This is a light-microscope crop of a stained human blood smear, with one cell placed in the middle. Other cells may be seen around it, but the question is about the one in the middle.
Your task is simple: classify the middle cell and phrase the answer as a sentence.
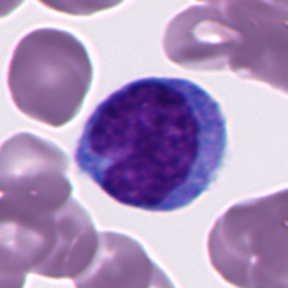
What sits at the centre of this crop is a monocyte.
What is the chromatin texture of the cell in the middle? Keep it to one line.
Answer: the chromatin in this nucleus is coarsely clumped.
